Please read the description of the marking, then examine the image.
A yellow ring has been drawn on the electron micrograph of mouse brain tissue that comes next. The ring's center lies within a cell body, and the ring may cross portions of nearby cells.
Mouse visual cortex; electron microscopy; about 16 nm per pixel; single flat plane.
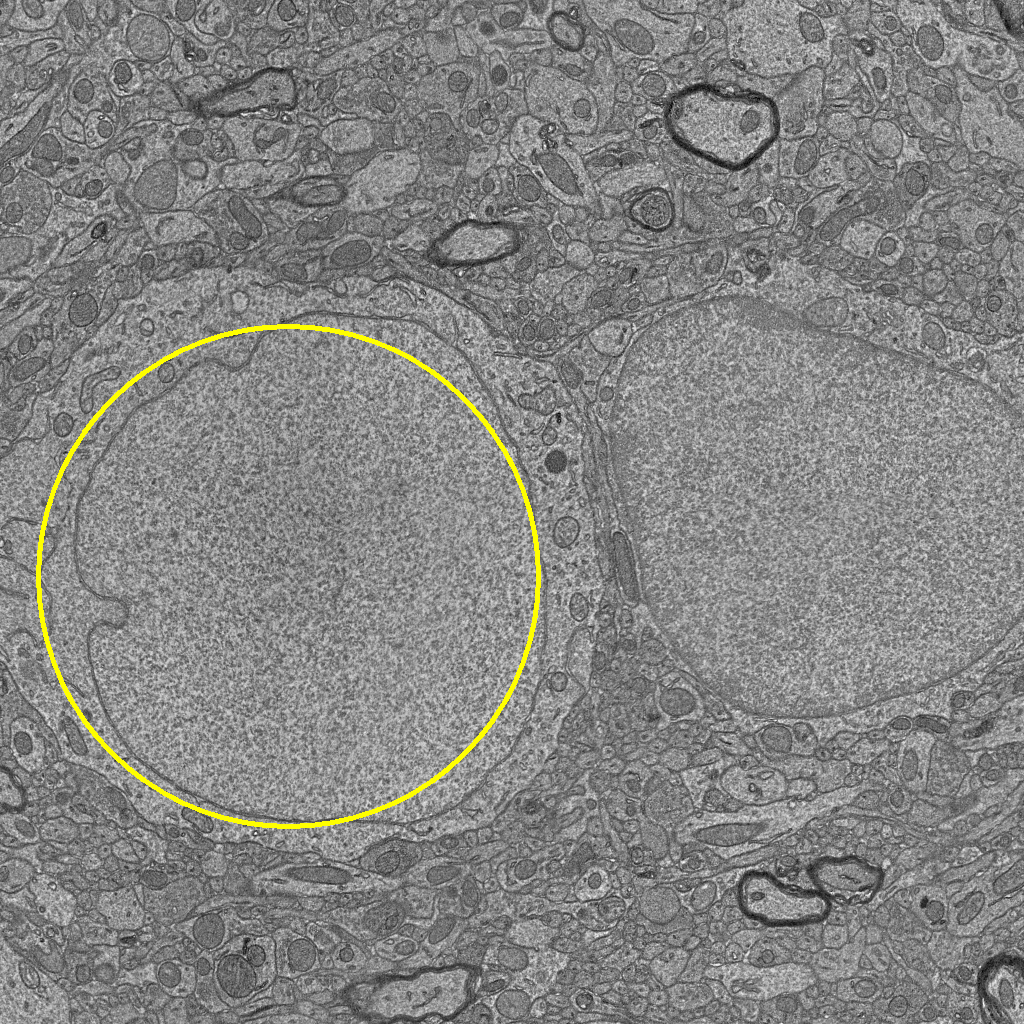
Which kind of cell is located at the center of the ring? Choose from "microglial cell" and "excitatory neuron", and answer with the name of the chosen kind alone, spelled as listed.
excitatory neuron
